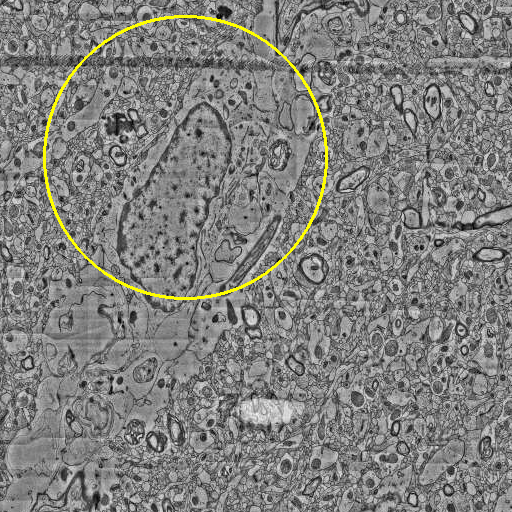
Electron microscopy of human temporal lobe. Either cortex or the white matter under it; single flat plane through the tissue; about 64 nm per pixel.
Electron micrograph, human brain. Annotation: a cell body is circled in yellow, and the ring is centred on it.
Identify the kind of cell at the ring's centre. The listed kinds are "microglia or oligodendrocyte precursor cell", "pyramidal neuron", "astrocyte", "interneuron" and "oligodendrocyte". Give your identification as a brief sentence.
The circled cell body is that of a microglial cell or oligodendrocyte precursor cell.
